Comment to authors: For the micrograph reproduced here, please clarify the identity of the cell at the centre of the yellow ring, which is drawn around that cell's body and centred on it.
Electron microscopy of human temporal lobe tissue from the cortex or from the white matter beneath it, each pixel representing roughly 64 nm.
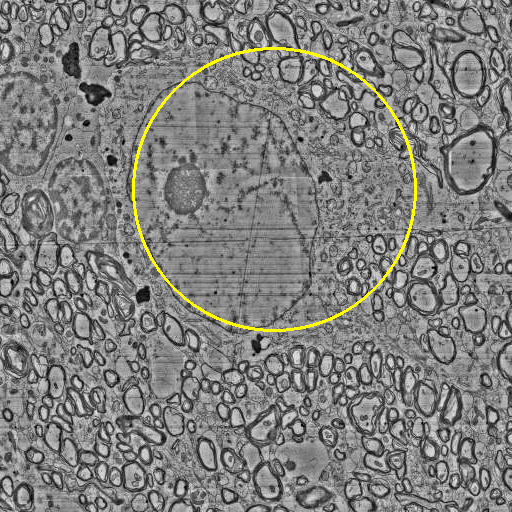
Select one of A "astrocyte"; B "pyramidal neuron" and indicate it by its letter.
B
